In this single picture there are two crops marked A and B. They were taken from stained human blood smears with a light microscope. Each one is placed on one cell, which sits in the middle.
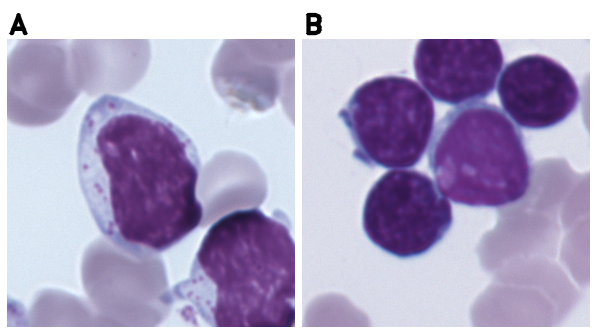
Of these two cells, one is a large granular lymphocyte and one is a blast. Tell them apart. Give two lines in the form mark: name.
A: large granular lymphocyte
B: blast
